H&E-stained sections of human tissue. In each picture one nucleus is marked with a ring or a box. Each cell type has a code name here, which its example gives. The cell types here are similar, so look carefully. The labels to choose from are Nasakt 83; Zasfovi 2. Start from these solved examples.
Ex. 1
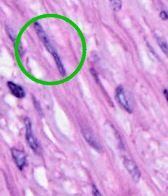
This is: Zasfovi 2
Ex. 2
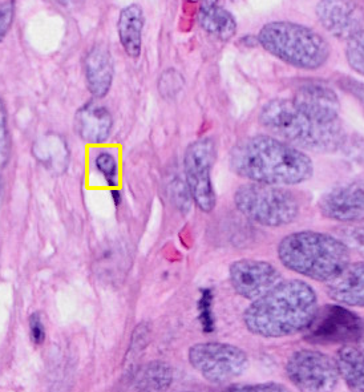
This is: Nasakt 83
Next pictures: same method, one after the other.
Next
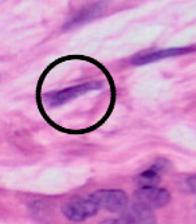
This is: Zasfovi 2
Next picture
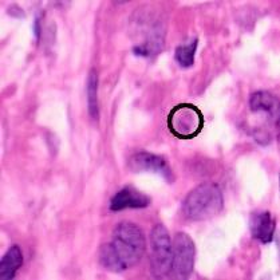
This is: Nasakt 83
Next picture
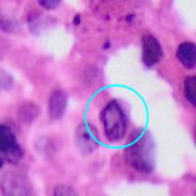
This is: Nasakt 83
